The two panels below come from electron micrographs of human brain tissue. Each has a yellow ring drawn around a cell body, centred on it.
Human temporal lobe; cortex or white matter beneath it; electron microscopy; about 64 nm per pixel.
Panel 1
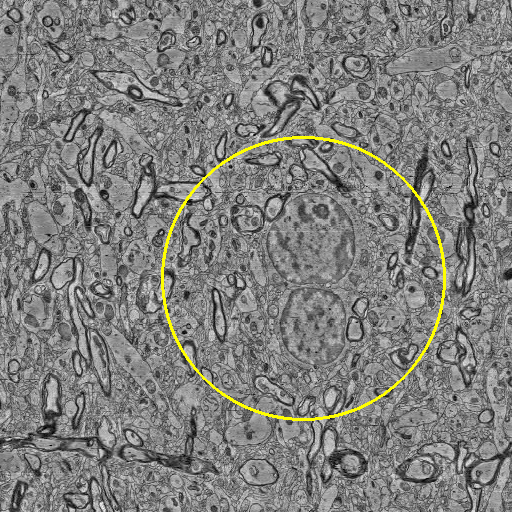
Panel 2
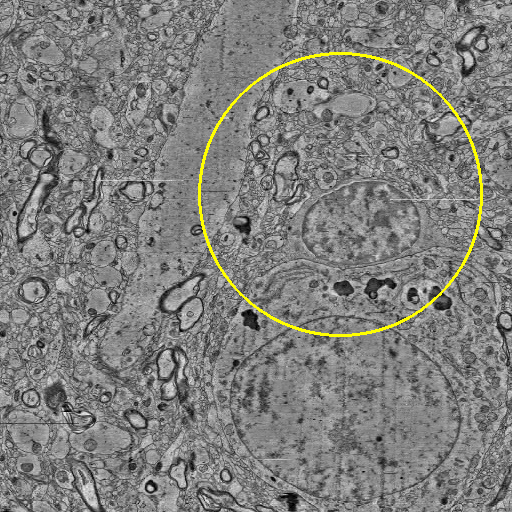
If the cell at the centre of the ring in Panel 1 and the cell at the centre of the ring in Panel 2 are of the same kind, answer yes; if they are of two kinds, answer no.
yes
